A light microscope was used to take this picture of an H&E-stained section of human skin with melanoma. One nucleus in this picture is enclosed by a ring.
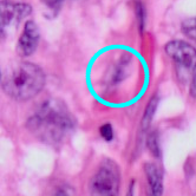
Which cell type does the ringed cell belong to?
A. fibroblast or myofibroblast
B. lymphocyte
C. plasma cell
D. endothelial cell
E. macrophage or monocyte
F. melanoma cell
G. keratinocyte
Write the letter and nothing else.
D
